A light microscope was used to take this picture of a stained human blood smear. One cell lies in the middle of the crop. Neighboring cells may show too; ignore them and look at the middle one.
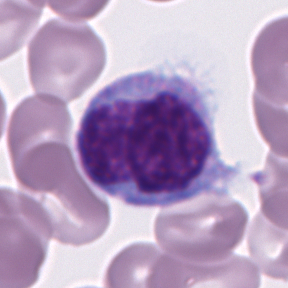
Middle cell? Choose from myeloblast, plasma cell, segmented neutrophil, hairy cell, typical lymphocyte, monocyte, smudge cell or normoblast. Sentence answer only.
The cell in the middle of the field of view is a monocyte.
